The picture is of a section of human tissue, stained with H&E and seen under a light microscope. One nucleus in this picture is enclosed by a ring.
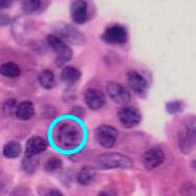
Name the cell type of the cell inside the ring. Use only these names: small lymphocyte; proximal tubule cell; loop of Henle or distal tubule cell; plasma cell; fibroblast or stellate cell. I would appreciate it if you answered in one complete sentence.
Assigned to a cell type, the cell inside the ring is a plasma cell.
